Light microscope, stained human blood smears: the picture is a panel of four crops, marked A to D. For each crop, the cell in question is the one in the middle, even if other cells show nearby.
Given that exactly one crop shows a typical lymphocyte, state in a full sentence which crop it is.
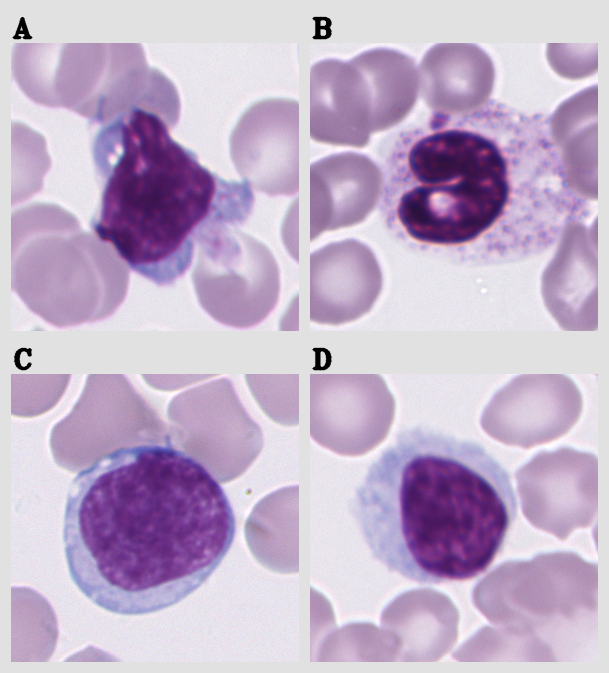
Among these crops, crop A holds a typical lymphocyte.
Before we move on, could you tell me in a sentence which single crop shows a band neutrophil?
Here the crop that shows a band neutrophil is crop B.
